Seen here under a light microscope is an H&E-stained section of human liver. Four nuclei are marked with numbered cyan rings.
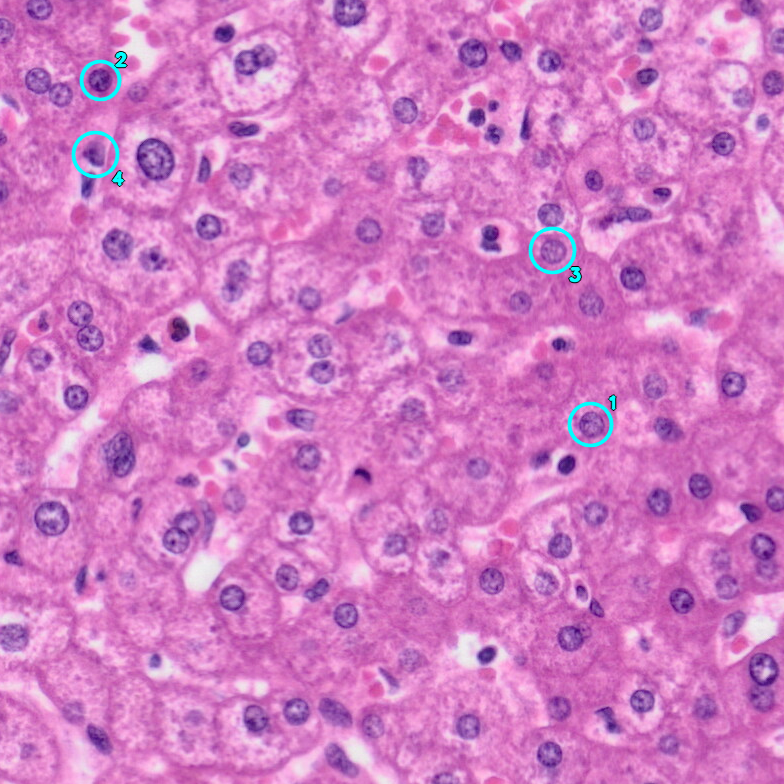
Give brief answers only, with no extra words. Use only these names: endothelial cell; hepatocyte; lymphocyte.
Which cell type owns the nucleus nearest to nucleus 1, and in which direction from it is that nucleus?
a lymphocyte; below and to the left of nucleus 1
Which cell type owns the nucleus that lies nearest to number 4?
lymphocyte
